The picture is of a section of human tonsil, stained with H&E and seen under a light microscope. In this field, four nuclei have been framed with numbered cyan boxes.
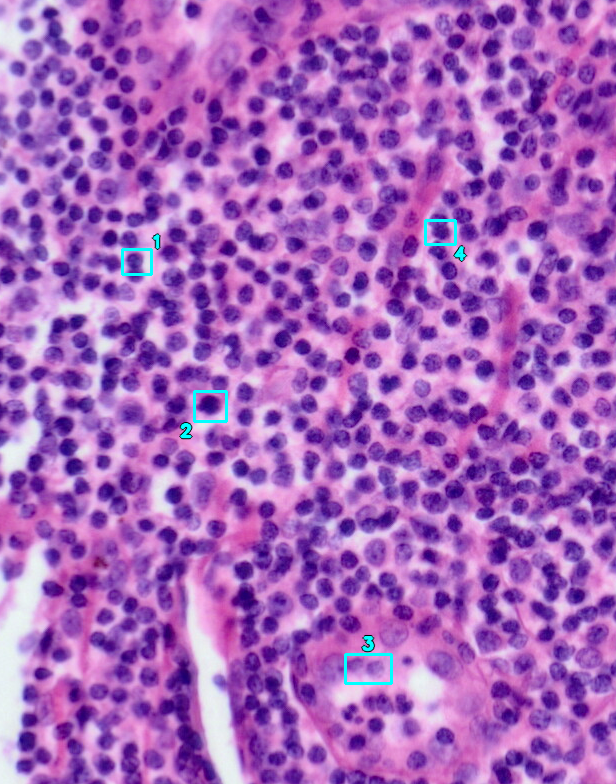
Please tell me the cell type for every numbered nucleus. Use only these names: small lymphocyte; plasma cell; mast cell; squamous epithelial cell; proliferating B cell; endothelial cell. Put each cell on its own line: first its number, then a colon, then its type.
1: small lymphocyte
2: proliferating B cell
3: endothelial cell
4: small lymphocyte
